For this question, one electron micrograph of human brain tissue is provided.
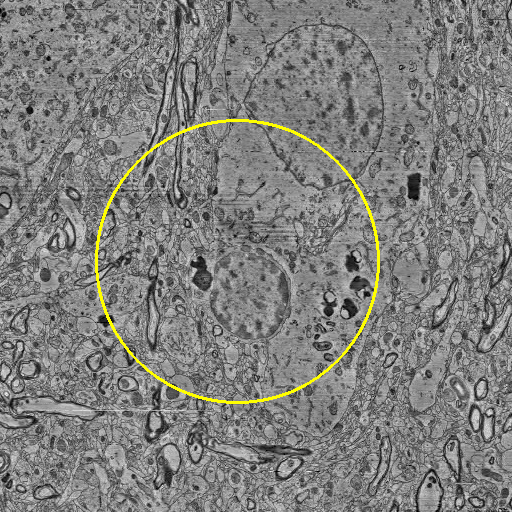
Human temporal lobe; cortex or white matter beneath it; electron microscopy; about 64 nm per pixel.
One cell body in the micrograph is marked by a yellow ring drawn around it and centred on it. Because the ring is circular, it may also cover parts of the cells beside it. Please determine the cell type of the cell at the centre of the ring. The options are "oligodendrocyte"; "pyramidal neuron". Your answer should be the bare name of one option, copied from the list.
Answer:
oligodendrocyte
